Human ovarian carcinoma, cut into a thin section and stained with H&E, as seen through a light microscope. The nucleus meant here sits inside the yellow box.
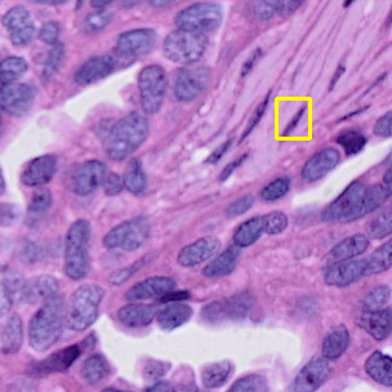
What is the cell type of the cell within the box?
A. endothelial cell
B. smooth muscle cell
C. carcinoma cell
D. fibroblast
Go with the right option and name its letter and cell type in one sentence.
Among the choices, option D is correct, the cell within the box being a fibroblast.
